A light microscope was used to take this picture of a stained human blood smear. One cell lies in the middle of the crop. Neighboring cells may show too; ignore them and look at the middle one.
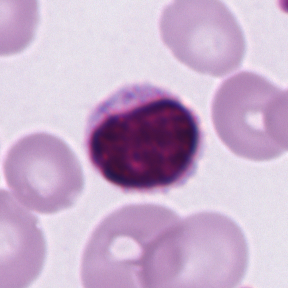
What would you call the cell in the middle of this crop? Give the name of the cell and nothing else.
large granular lymphocyte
